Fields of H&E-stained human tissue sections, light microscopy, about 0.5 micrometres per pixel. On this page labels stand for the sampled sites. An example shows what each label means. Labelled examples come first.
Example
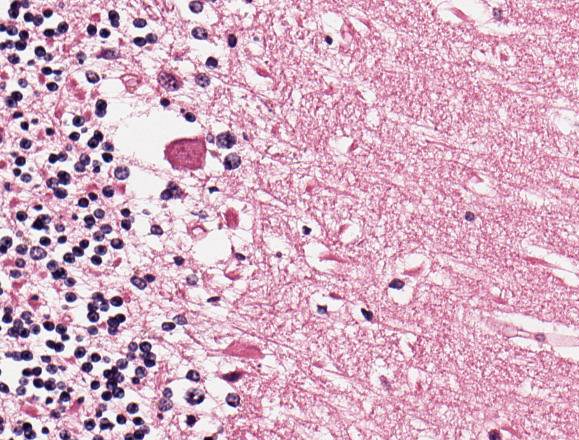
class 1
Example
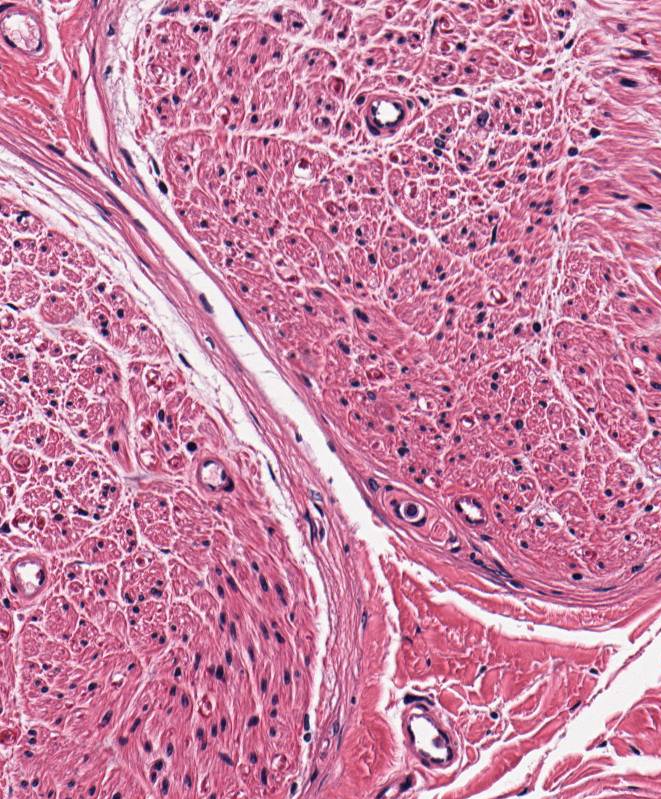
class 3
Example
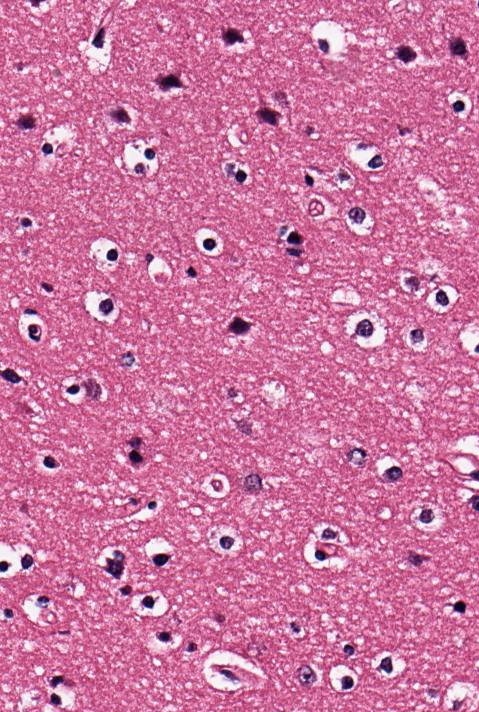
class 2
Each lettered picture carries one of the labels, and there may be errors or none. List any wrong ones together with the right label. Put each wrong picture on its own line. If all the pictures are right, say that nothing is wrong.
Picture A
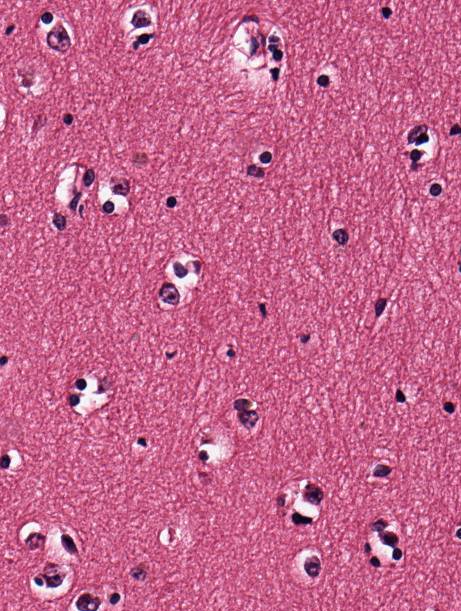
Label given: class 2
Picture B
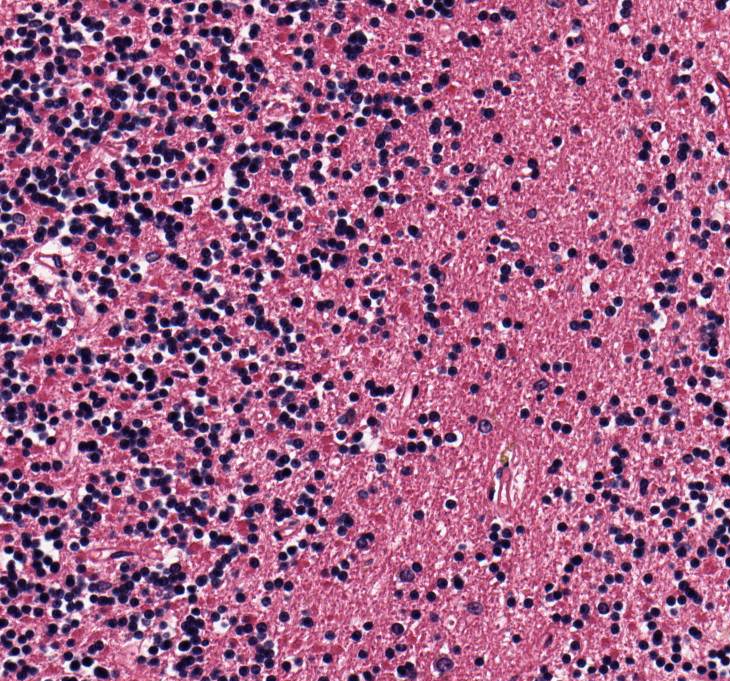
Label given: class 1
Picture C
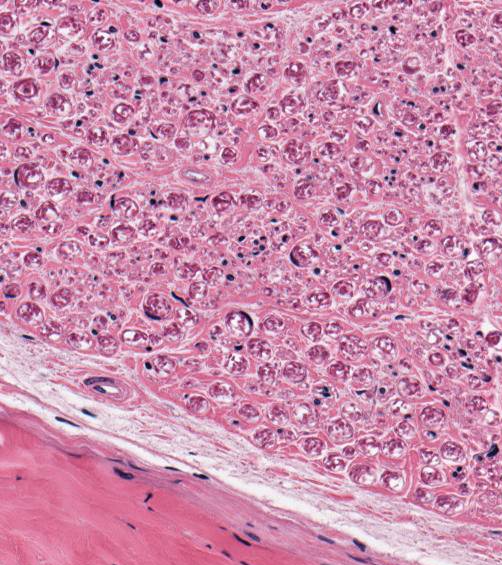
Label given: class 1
C should be class 3, not class 1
